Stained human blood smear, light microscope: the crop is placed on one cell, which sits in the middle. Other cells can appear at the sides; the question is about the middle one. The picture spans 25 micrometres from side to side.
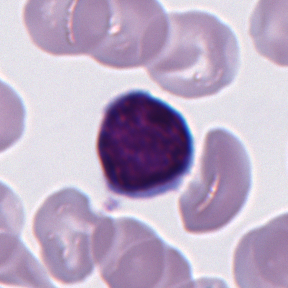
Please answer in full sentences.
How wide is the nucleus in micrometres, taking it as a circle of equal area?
The diameter of the nucleus comes to about 8 micrometres.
